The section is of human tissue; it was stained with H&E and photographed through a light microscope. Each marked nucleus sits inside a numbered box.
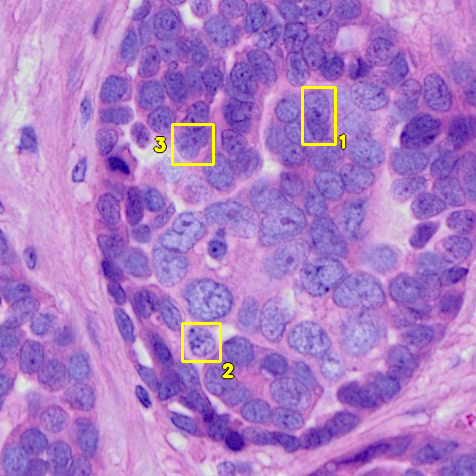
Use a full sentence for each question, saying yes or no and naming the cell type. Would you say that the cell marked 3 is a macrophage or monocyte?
No, calling cell 3 a macrophage or monocyte is incorrect; it is a carcinoma cell.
